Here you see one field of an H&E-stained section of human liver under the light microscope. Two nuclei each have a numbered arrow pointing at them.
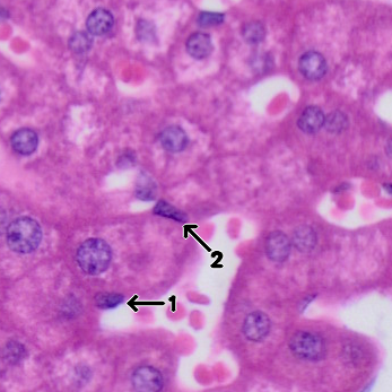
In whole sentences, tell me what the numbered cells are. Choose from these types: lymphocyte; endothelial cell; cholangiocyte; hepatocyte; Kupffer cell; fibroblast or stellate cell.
Cell 1 is an endothelial cell and cell 2 is a fibroblast or stellate cell.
